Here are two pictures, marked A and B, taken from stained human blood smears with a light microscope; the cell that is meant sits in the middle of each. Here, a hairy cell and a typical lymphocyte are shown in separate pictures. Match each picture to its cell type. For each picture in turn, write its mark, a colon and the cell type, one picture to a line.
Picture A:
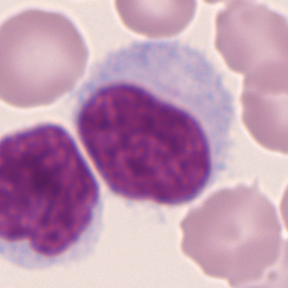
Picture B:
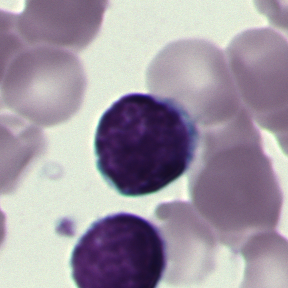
A: hairy cell
B: typical lymphocyte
